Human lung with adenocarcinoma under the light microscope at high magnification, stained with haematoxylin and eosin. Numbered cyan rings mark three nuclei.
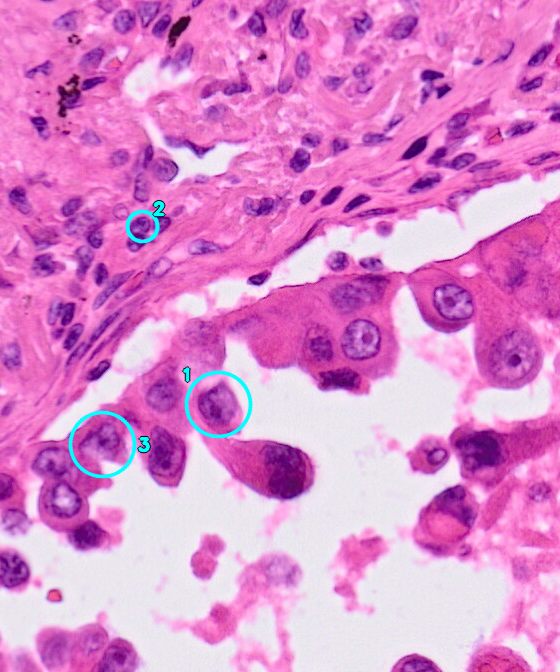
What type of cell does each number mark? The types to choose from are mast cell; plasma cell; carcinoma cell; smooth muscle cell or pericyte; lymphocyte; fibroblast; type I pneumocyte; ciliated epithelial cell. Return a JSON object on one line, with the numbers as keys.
{"1": "carcinoma cell", "2": "lymphocyte", "3": "carcinoma cell"}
